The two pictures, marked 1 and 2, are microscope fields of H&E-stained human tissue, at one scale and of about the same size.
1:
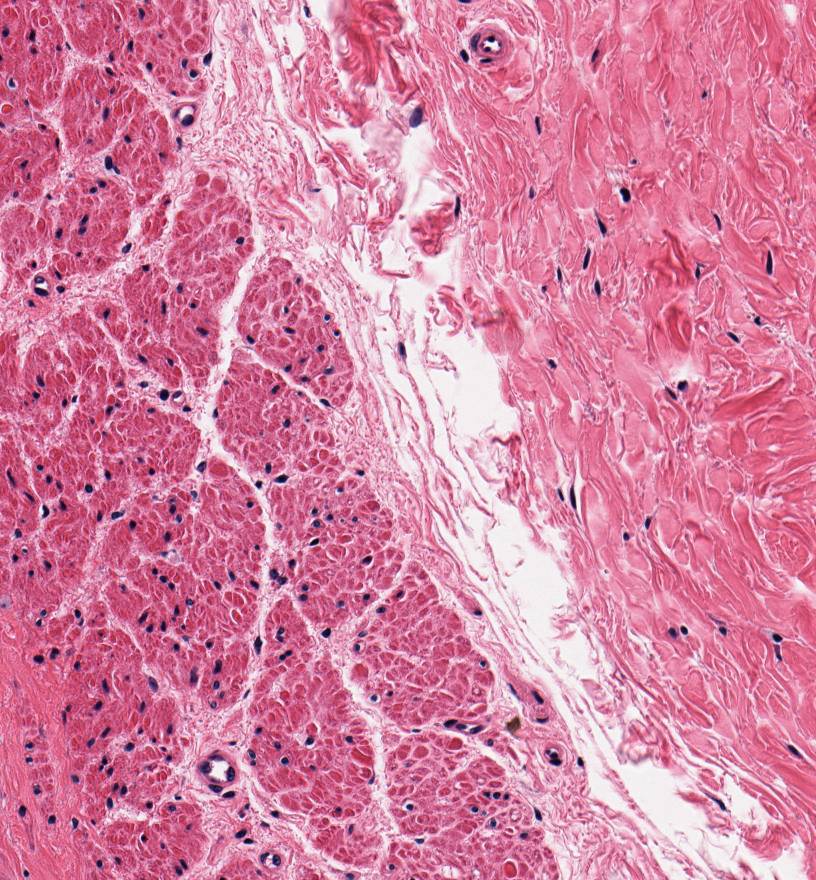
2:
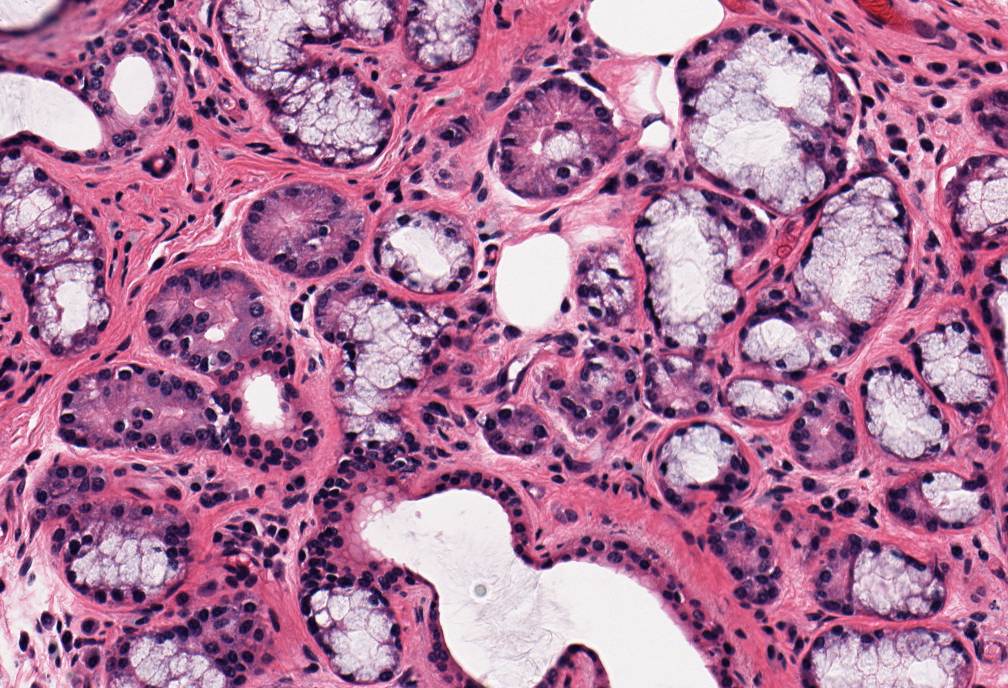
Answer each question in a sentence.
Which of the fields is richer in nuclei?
The larger number of nuclei is in field 2.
